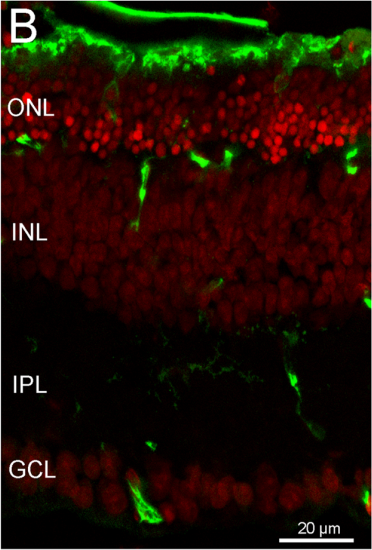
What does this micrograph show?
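This is a vertical section through the neural retina, with its nuclear layers stained red and a green-stained band at the outer edge. Among the photoreceptor nuclei some are small and bright red, consistent with condensed, pycnotic nuclei. A few thin green strands run radially through the inner layers.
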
